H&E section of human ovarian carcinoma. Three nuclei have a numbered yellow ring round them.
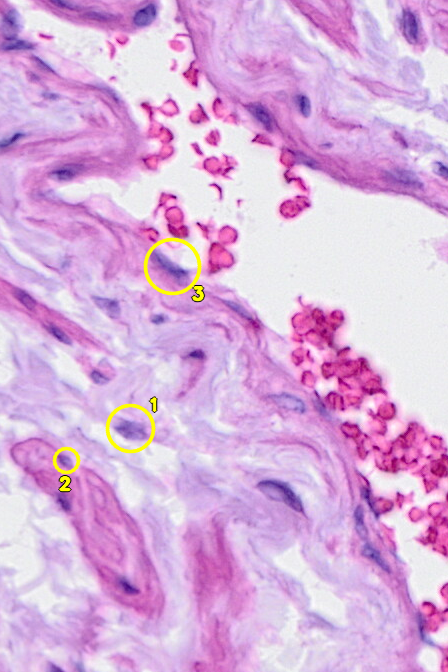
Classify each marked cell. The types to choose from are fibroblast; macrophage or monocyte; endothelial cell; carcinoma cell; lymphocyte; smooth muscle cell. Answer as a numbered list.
1. fibroblast
2. smooth muscle cell
3. endothelial cell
